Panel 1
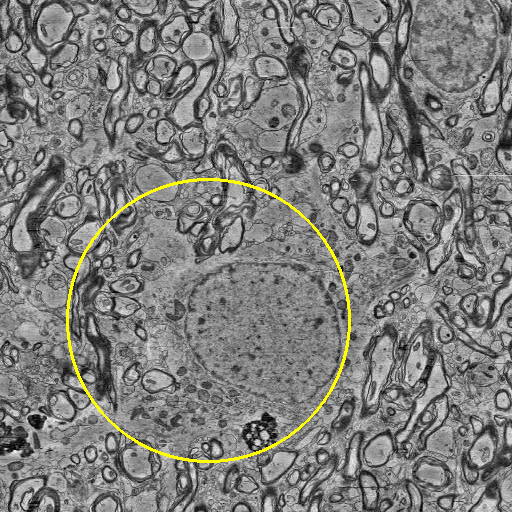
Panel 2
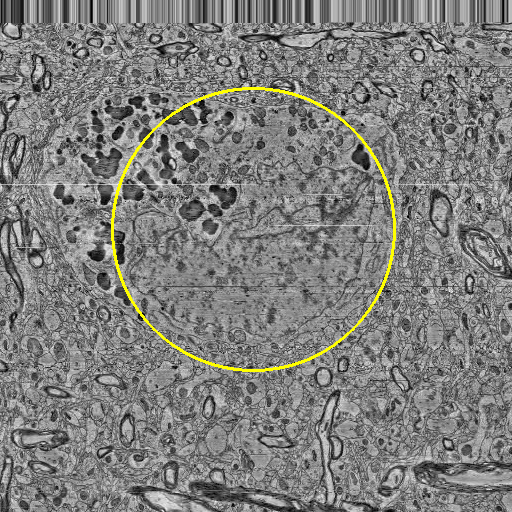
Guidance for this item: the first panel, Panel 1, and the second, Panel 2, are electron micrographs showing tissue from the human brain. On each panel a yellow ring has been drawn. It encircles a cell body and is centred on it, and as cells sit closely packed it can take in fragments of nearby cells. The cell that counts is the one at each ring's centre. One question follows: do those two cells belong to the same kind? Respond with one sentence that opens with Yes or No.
No, the cells at the ring centres in Panel 1 and Panel 2 are of two kinds.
